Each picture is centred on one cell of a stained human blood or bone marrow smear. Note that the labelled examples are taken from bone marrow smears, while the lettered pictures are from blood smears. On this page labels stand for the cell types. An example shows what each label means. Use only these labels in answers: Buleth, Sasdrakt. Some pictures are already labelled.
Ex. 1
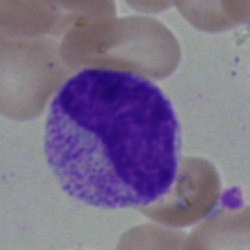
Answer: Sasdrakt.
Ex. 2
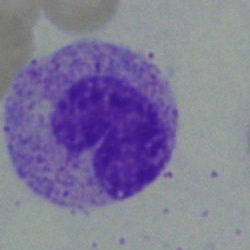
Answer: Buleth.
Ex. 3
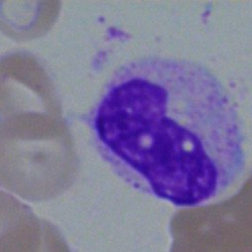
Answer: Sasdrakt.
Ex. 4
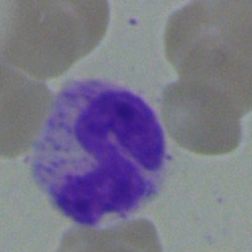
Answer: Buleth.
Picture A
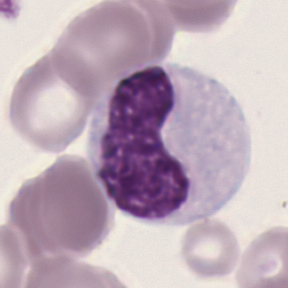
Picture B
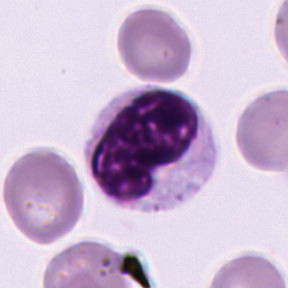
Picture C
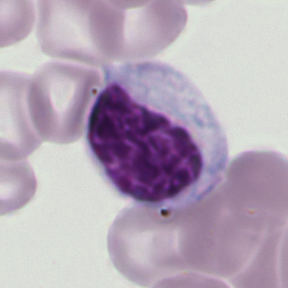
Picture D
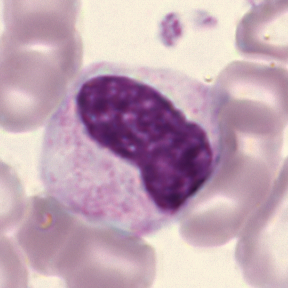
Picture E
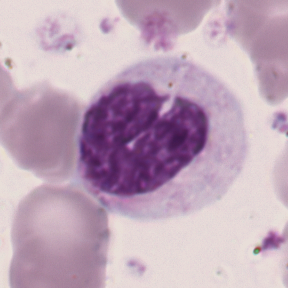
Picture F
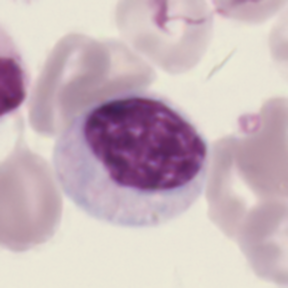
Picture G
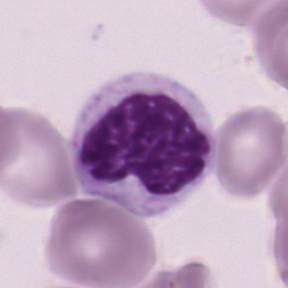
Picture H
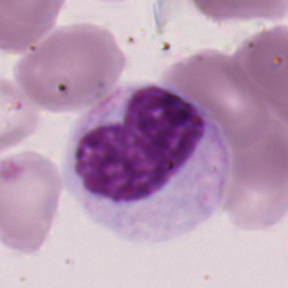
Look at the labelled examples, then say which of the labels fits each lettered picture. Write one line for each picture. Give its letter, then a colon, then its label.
A: Sasdrakt.
B: Buleth.
C: Sasdrakt.
D: Sasdrakt.
E: Buleth.
F: Sasdrakt.
G: Sasdrakt.
H: Sasdrakt.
